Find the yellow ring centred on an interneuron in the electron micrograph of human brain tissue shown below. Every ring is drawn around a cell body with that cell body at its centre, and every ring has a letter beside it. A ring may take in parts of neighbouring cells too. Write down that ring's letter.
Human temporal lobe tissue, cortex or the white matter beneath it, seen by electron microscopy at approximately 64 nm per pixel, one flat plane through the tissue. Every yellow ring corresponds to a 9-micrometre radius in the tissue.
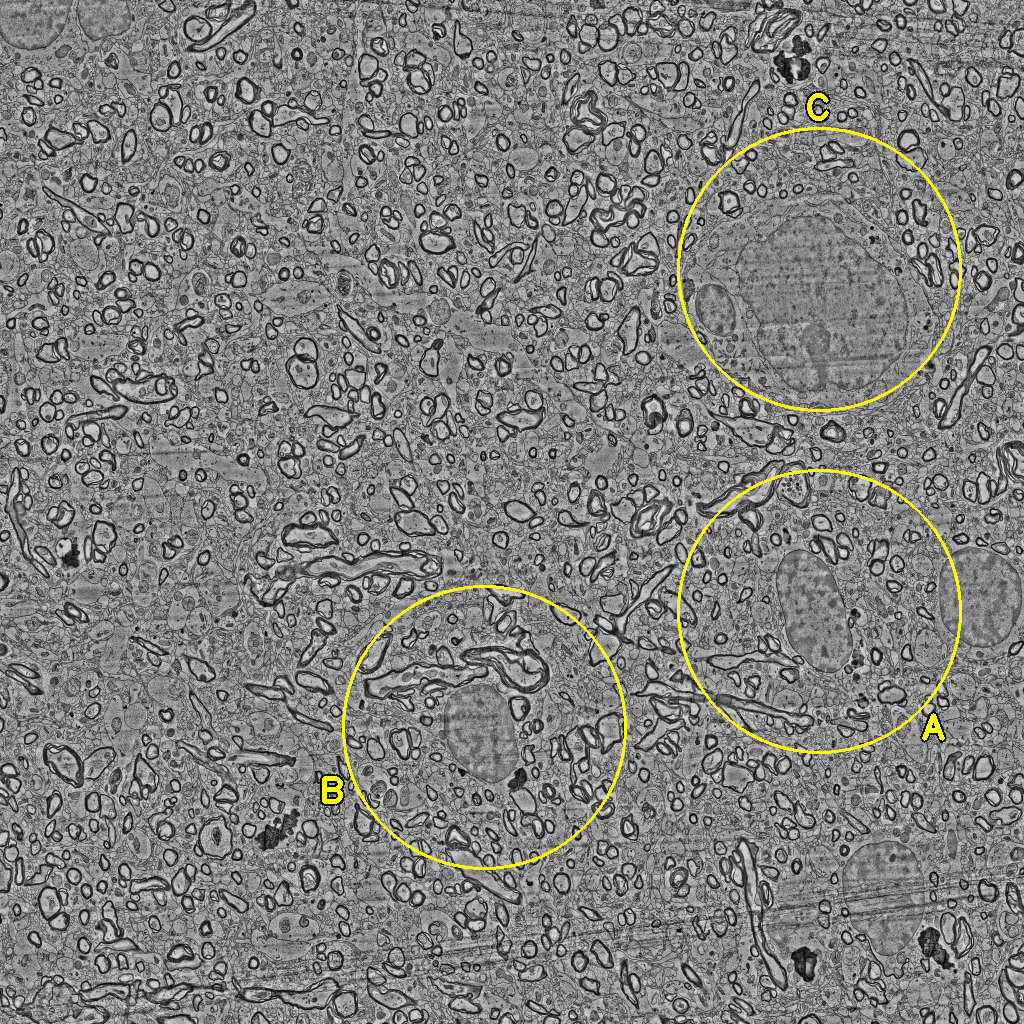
C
